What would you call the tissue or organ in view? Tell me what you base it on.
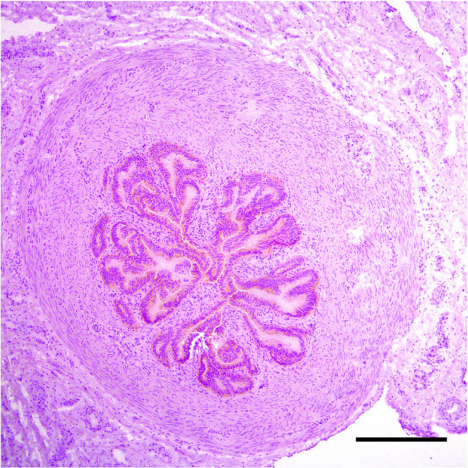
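A thick, ring-shaped muscular wall surrounds a small central lumen.
Hence: isthmus.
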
